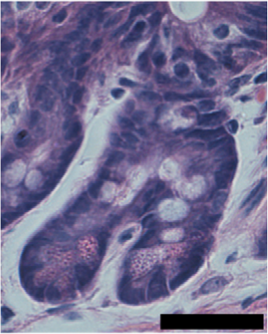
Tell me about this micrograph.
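Pale, rounded cells lie scattered among the epithelial cells, and at each base there are cells packed with bright red granules. Thin, pale connective tissue surrounds the crypt.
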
